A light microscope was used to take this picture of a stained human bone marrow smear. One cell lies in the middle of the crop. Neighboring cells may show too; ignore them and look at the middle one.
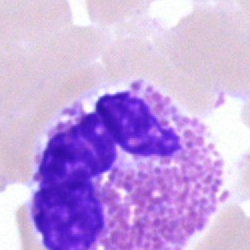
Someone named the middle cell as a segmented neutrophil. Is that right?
no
